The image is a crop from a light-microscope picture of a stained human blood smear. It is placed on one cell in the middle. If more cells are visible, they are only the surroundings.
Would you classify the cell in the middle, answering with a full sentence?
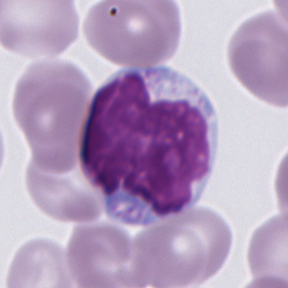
As for the central cell, it is a large granular lymphocyte.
